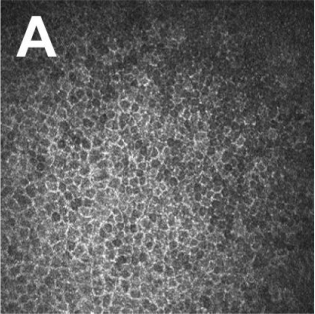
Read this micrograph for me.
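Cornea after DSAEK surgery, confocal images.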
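A regular mosaic of small, tightly packed polygonal cells fills the field en face, each cell outlined by a bright thin border around a dark interior. The cells are of fairly even size and no haze or bright deposits lie between them.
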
